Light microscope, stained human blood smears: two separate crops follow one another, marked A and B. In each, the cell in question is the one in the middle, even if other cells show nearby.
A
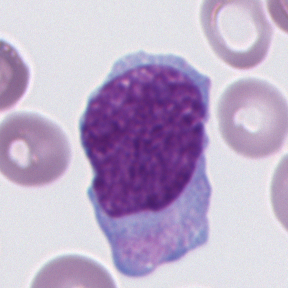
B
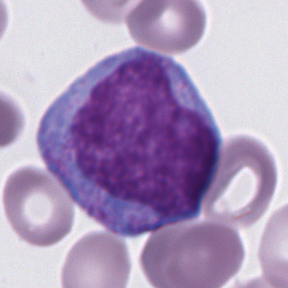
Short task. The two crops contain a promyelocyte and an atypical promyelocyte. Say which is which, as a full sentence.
The cell at the centre of crop A is an atypical promyelocyte, and at the centre of crop B, a promyelocyte.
